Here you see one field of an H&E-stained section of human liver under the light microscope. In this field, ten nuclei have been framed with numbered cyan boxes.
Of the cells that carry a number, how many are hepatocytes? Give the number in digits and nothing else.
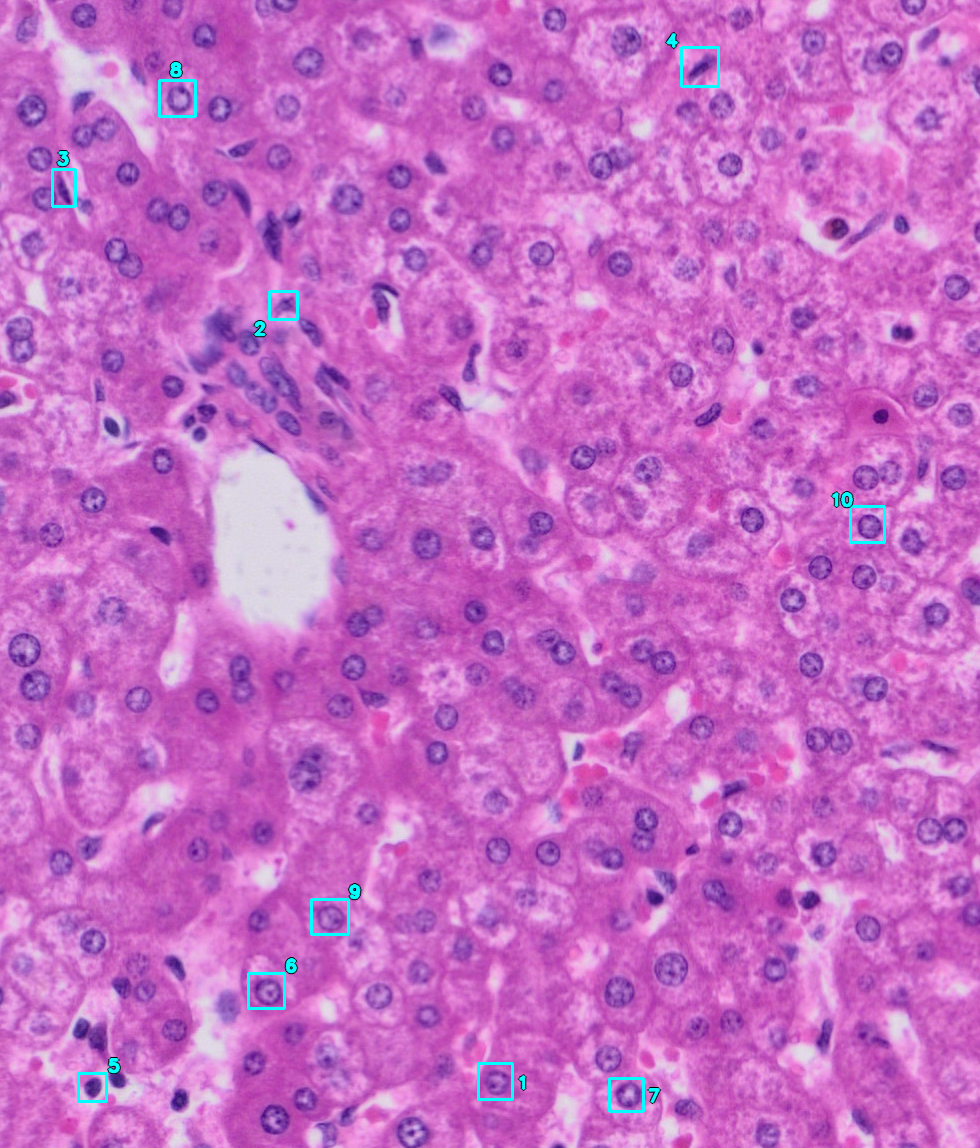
6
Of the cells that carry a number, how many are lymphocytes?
1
